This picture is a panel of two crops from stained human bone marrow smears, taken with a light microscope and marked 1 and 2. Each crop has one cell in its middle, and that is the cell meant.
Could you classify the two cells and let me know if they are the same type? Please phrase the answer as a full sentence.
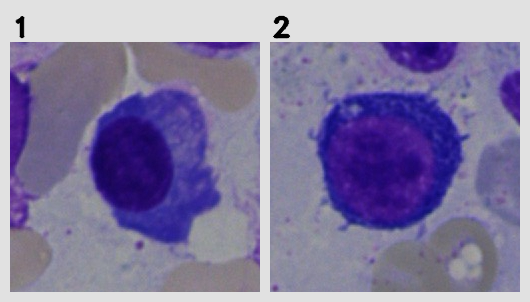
No, within crop 1 lies a plasma cell, and within crop 2 lies a proerythroblast.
